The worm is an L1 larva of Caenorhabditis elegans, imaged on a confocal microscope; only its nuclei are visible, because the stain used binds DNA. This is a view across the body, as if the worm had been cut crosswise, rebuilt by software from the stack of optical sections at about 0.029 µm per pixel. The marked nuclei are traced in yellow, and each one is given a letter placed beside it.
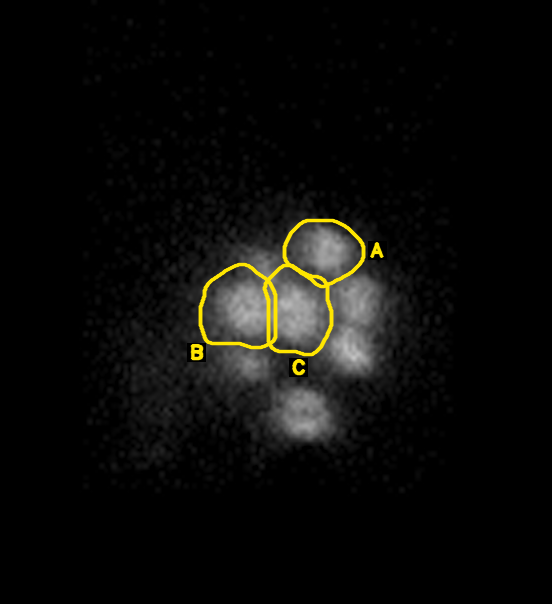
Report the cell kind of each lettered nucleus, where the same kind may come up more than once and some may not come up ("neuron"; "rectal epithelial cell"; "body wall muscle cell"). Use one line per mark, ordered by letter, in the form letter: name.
A: body wall muscle cell
B: neuron
C: rectal epithelial cell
